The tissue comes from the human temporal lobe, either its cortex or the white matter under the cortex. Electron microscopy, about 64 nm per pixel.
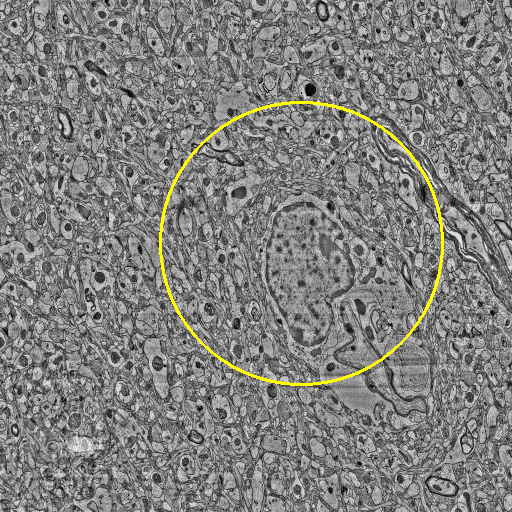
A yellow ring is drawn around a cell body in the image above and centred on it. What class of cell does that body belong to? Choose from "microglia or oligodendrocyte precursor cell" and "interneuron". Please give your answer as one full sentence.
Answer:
The yellow ring above is centred on the cell body of a microglial cell or oligodendrocyte precursor cell.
